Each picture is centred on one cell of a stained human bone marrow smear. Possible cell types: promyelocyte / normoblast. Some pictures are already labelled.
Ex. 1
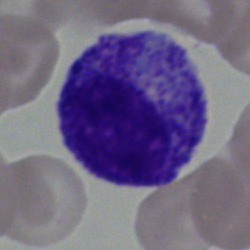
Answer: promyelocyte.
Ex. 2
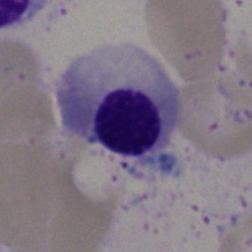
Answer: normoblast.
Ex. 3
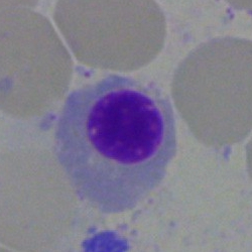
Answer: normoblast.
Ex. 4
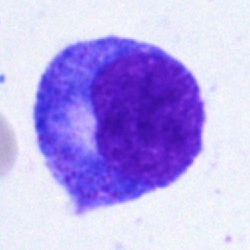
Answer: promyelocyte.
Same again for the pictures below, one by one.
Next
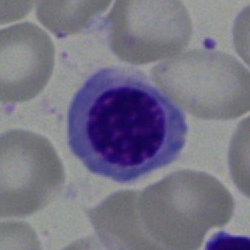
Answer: normoblast.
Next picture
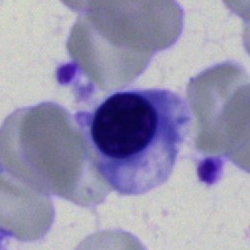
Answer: normoblast.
